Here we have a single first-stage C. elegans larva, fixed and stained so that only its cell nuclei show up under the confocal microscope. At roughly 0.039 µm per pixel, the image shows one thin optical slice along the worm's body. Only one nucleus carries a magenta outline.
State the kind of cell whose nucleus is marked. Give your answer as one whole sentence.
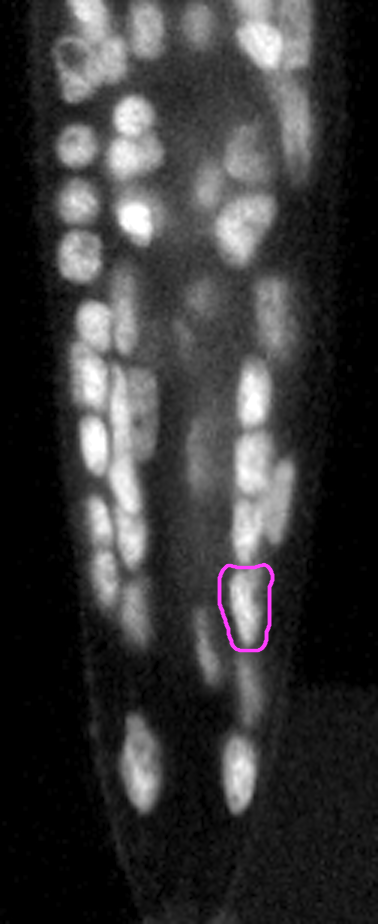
This nucleus is from an arcade cell.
